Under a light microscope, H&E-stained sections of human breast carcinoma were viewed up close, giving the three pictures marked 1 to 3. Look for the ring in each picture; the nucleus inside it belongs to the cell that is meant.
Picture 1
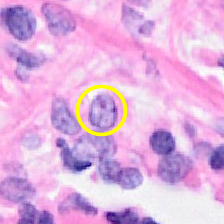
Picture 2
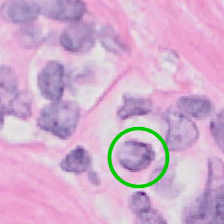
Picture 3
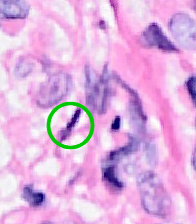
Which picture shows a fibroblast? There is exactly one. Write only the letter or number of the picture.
3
